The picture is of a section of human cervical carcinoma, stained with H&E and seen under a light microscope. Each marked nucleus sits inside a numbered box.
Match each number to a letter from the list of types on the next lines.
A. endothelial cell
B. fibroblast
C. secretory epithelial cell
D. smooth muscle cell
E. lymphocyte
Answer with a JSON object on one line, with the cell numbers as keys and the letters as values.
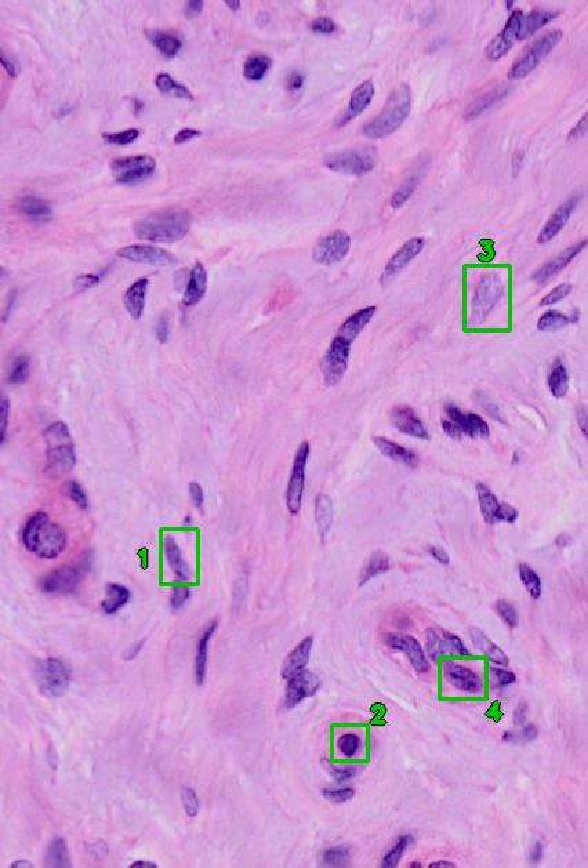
{"1": "B", "2": "A", "3": "D", "4": "A"}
